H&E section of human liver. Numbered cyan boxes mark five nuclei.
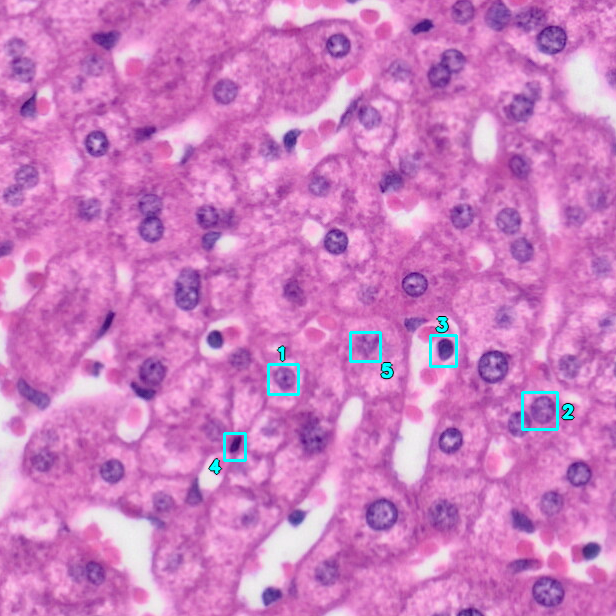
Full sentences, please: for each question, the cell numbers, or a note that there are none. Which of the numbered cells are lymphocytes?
A single numbered cell, cell 3, is a lymphocyte.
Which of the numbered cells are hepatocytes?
The numbers 1, 2 and 5 mark cells that are hepatocytes.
